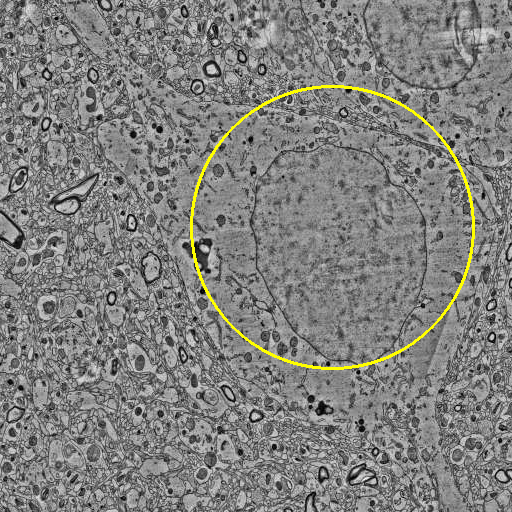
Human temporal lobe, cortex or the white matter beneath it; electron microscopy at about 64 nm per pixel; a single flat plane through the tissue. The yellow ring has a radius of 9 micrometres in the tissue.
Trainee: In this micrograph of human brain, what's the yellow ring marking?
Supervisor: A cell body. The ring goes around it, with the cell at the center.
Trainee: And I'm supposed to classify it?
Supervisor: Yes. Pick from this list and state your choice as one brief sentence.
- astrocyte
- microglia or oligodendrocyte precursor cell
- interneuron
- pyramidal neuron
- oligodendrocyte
The cell at the ring's center is a pyramidal neuron.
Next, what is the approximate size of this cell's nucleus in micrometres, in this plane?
The nucleus of the ringed cell is approximately 15 by 11 micrometres in this plane.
